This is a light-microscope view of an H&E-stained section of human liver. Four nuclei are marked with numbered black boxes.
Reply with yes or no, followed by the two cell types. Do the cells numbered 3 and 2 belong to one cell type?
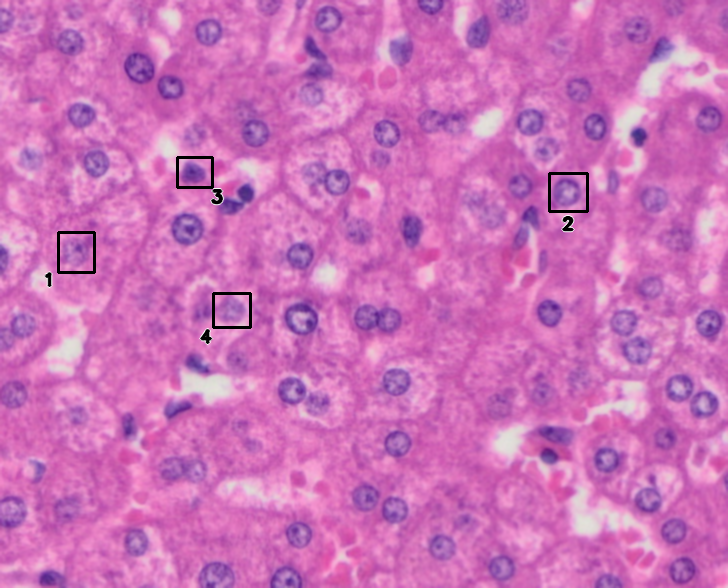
No, cell 3 is a fibroblast or stellate cell; as for cell 2, that one is a hepatocyte.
